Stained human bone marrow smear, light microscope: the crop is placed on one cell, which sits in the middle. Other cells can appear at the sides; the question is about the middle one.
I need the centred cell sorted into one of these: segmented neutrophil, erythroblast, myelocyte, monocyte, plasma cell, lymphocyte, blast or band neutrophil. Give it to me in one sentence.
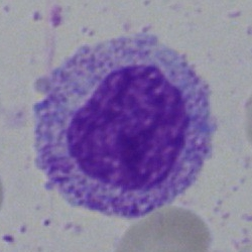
In the center of this field lies a myelocyte.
